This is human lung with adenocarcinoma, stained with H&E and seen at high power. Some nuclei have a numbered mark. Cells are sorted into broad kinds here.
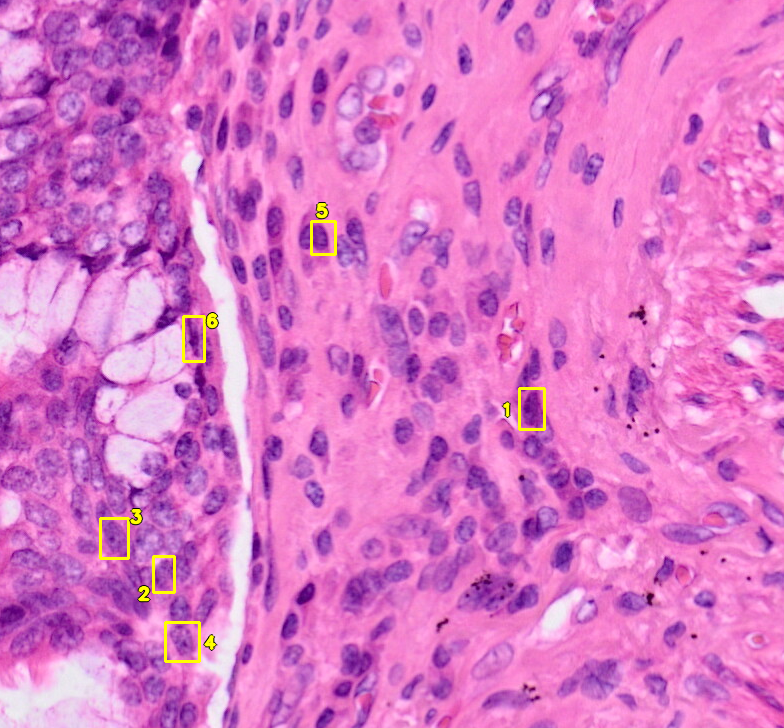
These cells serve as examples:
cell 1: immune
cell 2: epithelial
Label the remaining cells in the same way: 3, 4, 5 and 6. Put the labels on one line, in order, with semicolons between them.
epithelial; epithelial; immune; epithelial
